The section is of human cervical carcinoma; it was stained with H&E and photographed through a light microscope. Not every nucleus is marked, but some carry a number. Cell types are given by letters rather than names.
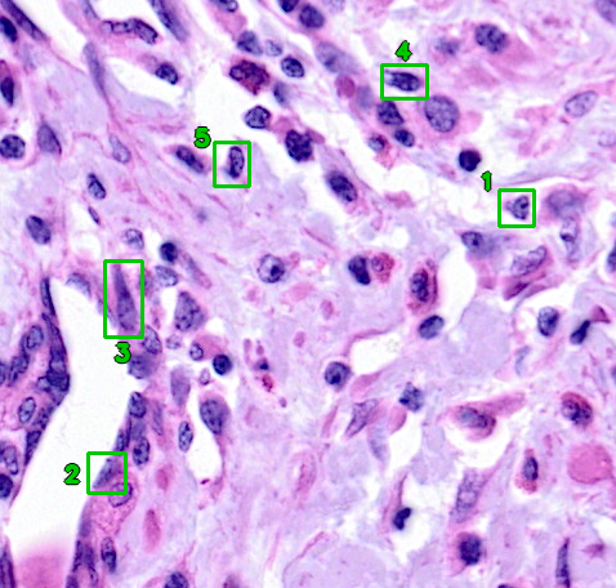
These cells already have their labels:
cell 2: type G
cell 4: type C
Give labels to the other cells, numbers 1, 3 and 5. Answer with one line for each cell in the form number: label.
1: type C
3: type G
5: type C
